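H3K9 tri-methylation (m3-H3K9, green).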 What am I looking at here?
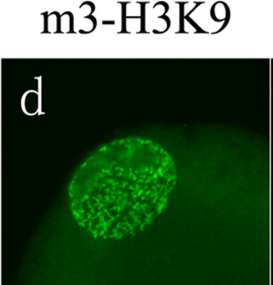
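A large oval body lies near the edge of a very large cell and is filled with a bright green network of threads and clumps. The cytoplasm around it is only dimly green and featureless. This is the large nucleus of an oocyte, with its chromatin heavily stained.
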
